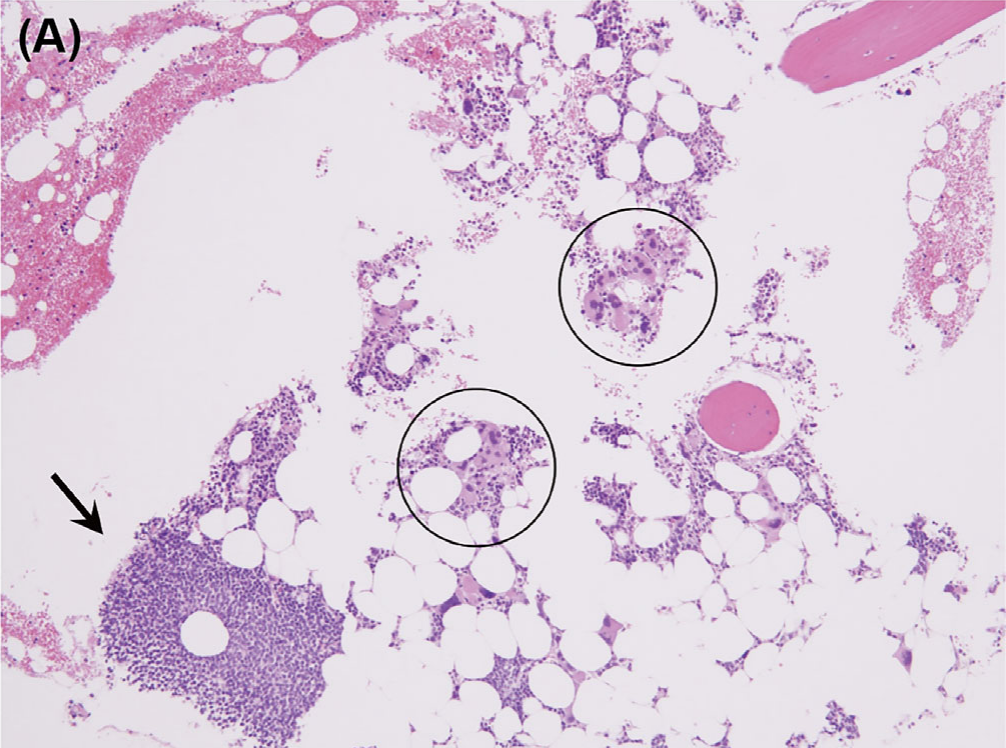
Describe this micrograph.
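A bone marrow biopsy in which the spaces between bony trabeculae hold fat cells, blood-forming marrow and an increased number of megakaryocytes. The fat cells appear as many empty round clear spaces. Between them lie patches of marrow with mixed small cells having dark nuclei. Scattered throughout are very large cells with abundant pink cytoplasm and big, dark, lobulated nuclei, the megakaryocytes, several of them grouped together. At the lower left lies a dense, well-bounded aggregate of small lymphocytes with round dark nuclei and scant cytoplasm, standing out as a uniform deep blue patch. Pink bony trabeculae and areas of blood lie at the top.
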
